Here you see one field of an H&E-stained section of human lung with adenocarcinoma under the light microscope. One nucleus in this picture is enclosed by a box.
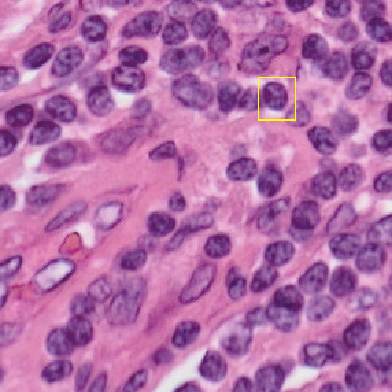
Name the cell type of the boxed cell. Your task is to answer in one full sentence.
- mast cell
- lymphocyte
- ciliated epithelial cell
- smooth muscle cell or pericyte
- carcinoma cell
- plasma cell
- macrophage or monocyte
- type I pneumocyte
Right, so the boxed cell is a lymphocyte, to answer that.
